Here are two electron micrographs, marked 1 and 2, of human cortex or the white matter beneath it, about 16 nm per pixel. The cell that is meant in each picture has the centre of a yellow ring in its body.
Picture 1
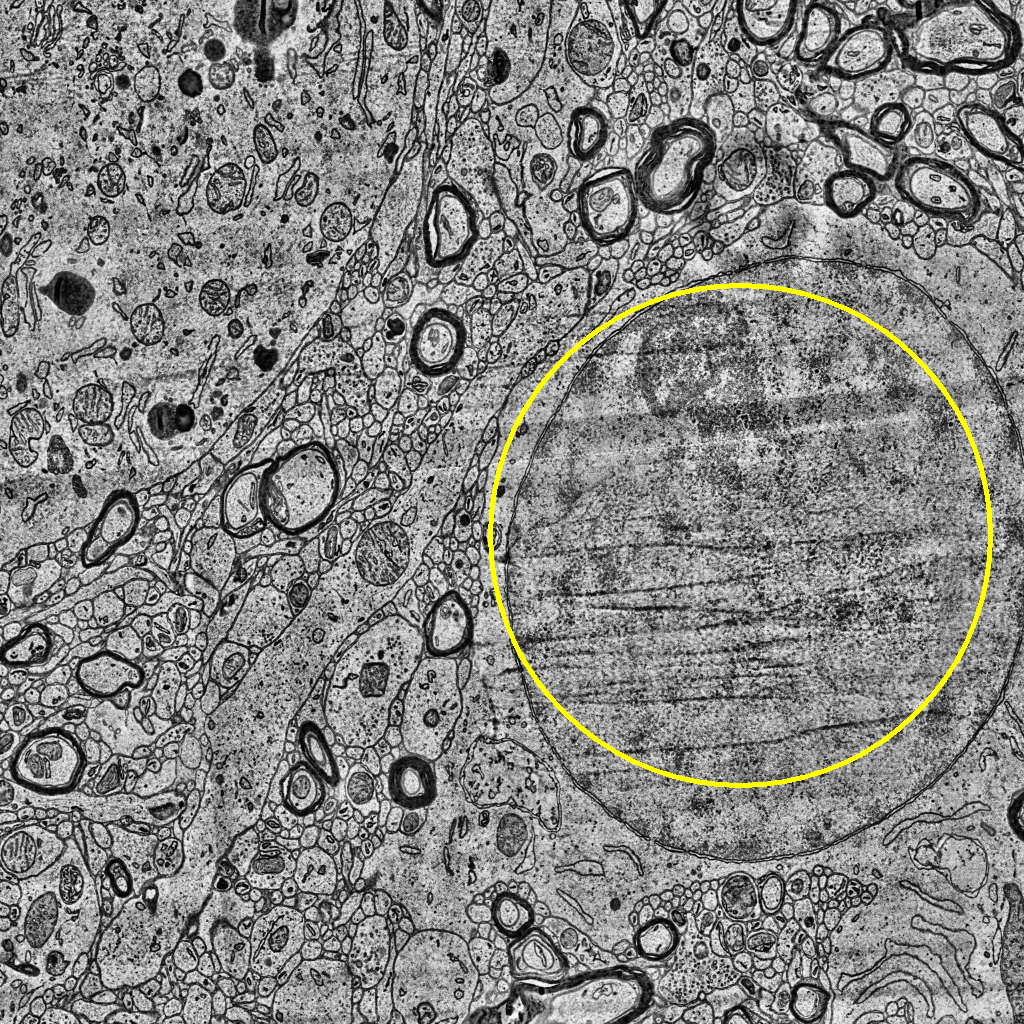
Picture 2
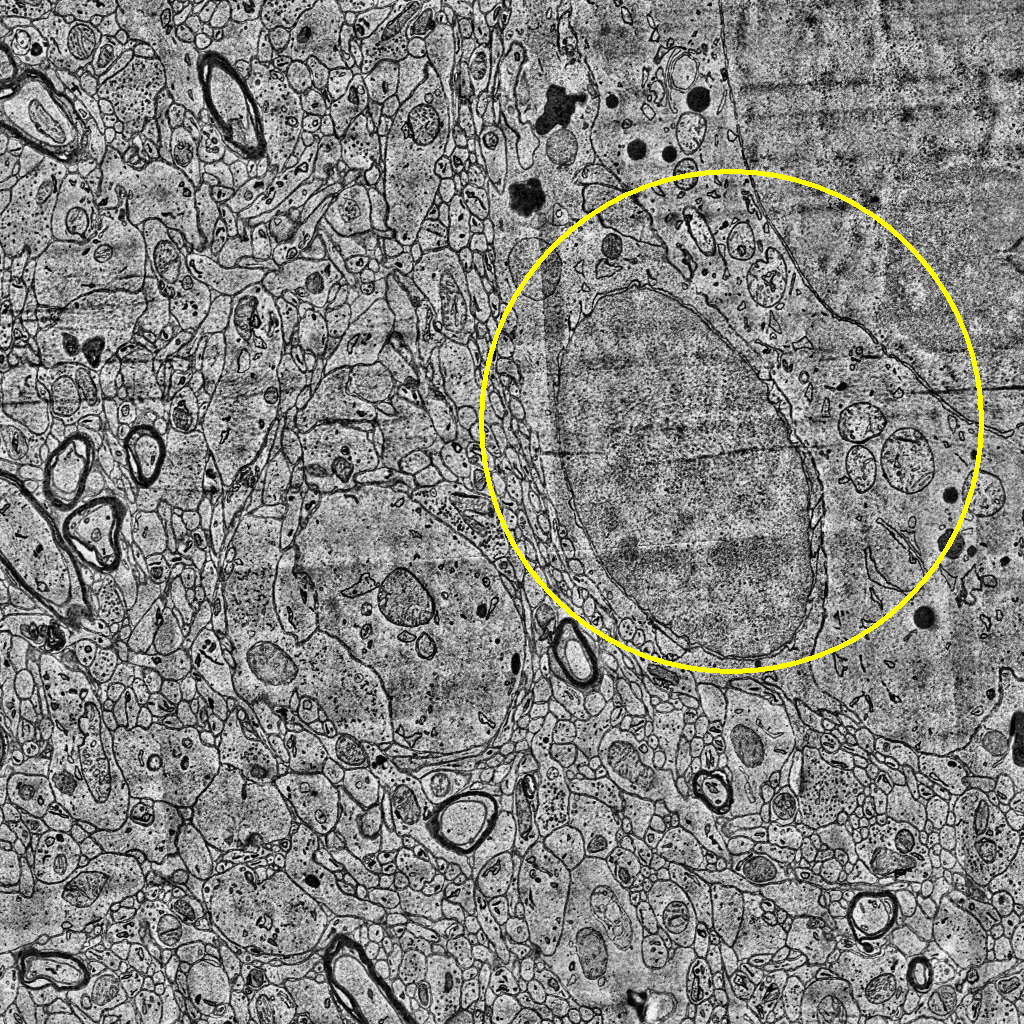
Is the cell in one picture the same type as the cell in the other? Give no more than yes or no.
no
